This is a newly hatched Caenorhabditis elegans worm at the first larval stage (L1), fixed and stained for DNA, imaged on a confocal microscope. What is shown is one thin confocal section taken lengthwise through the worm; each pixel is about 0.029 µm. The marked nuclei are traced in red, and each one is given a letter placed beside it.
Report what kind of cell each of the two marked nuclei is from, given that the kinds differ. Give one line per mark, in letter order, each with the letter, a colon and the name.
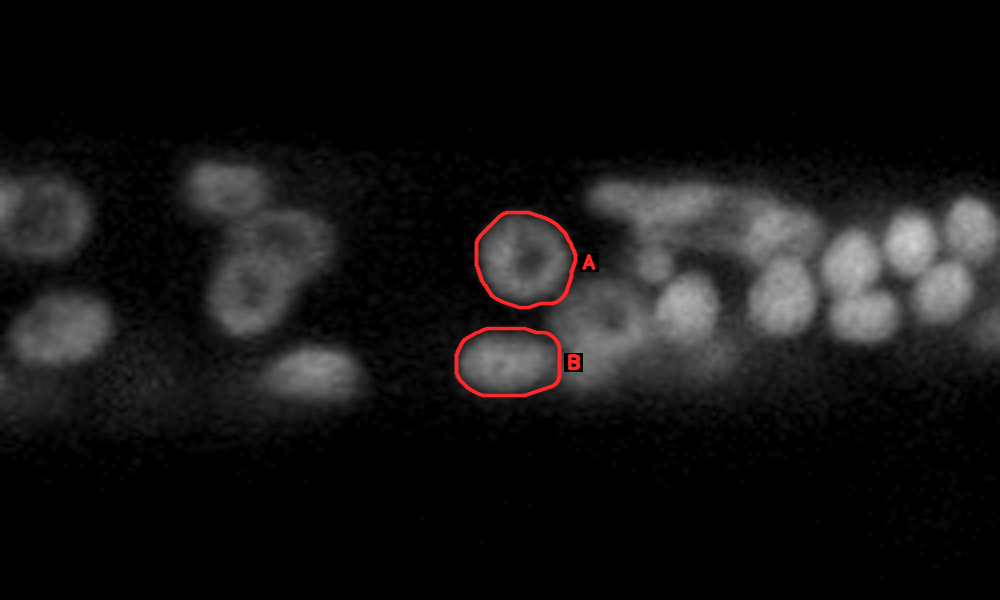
A: intestinal cell
B: enteric muscle cell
